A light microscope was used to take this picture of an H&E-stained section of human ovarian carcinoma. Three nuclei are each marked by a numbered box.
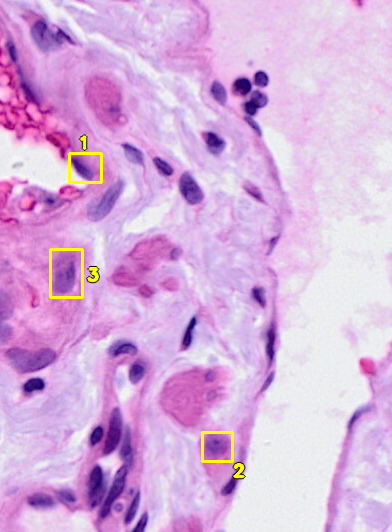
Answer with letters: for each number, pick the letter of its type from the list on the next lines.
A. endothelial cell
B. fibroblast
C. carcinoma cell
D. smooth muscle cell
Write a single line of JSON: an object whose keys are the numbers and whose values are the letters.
{"1": "A", "2": "D", "3": "A"}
